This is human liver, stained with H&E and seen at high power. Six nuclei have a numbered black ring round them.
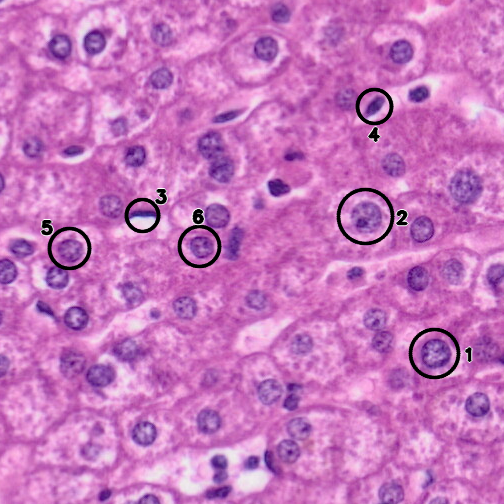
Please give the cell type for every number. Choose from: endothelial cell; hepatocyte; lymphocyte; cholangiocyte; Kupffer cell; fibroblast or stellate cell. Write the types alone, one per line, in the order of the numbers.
hepatocyte
hepatocyte
endothelial cell
lymphocyte
hepatocyte
hepatocyte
